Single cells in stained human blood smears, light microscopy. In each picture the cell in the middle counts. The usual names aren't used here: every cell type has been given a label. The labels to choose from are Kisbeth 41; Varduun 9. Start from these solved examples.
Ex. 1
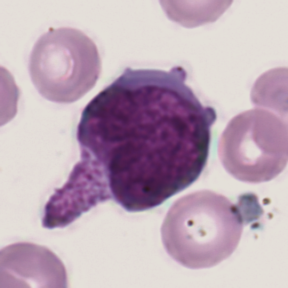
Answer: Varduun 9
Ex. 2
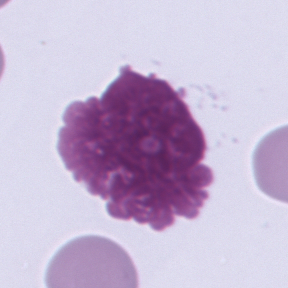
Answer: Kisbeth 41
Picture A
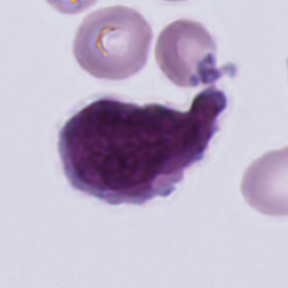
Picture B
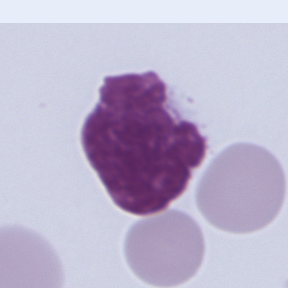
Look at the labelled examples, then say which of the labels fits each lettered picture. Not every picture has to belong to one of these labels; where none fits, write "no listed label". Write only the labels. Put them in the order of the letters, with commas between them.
Varduun 9, Kisbeth 41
